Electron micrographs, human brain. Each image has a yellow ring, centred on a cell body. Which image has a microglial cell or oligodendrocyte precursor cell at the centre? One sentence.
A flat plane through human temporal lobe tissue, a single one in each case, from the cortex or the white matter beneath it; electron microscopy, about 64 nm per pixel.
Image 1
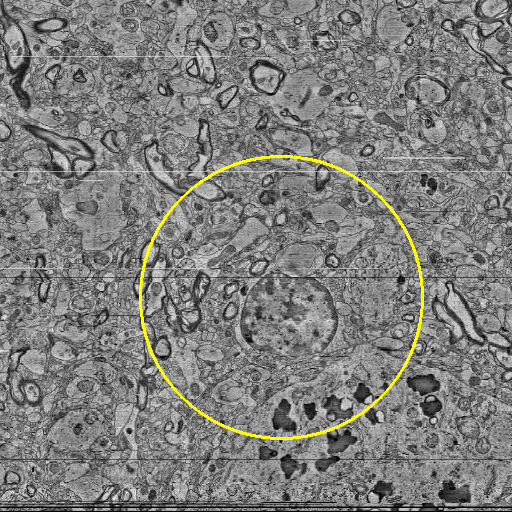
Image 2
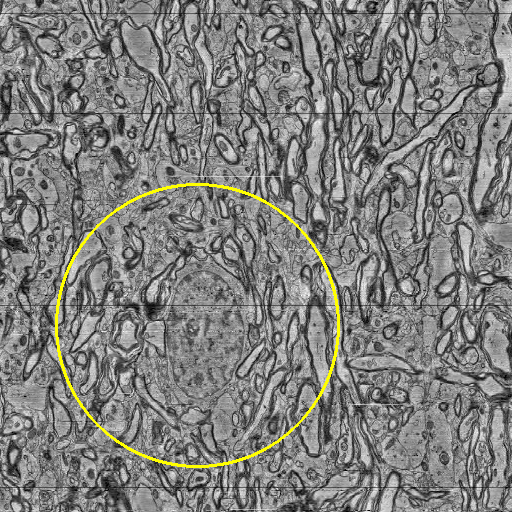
The ring in Image 1 is centred on it.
